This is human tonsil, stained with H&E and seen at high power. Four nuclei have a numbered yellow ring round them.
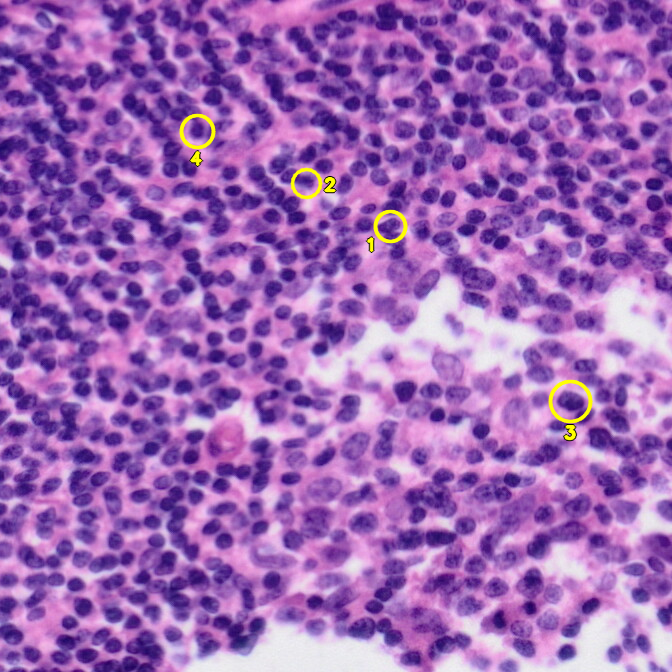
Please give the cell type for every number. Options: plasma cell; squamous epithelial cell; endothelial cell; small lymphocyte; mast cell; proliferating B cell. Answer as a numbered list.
1. small lymphocyte
2. small lymphocyte
3. proliferating B cell
4. small lymphocyte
